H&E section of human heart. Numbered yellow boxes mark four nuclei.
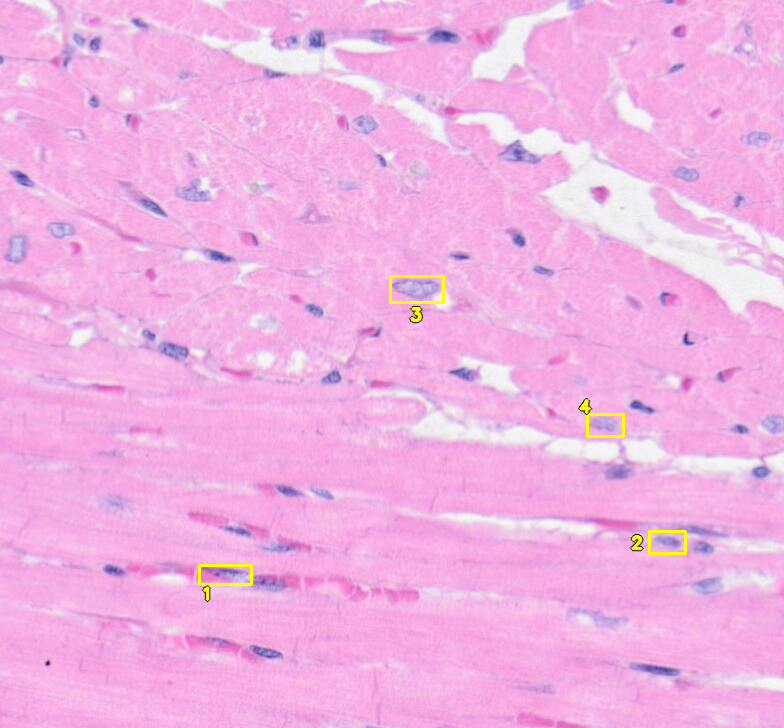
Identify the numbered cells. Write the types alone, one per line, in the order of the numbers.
endothelial cell
fibroblast
cardiomyocyte
cardiomyocyte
